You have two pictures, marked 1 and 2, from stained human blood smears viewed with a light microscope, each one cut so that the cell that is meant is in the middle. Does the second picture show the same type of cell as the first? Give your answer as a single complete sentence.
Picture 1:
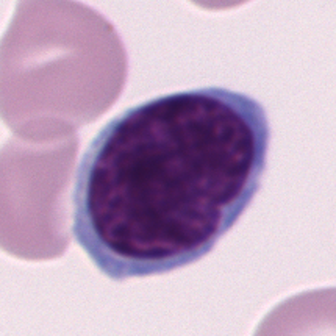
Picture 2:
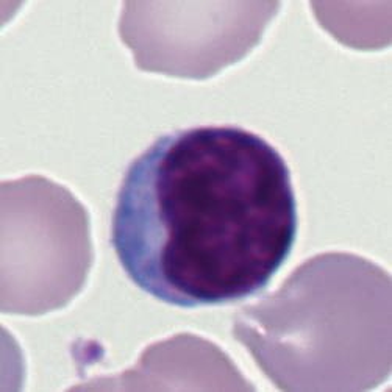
Yes, both are typical lymphocytes.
